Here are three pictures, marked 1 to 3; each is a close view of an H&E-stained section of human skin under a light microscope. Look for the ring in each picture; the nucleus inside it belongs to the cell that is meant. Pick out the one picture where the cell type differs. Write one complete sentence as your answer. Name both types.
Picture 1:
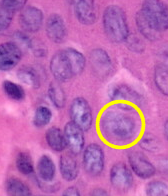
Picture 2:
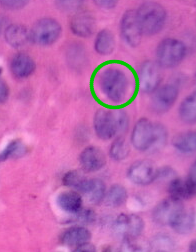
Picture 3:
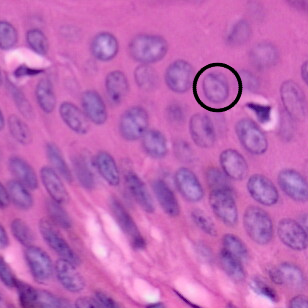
Picture 2 is the odd one out: it shows a basal keratinocyte, while the others show suprabasal keratinocytes.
